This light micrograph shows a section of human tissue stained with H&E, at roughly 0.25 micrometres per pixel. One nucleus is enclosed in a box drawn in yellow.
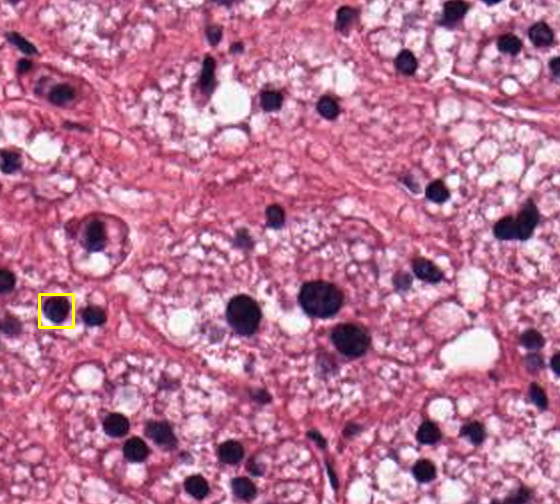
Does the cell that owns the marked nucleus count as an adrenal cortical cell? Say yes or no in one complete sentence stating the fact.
Yes, the nucleus that is marked belongs to an adrenal cortical cell.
